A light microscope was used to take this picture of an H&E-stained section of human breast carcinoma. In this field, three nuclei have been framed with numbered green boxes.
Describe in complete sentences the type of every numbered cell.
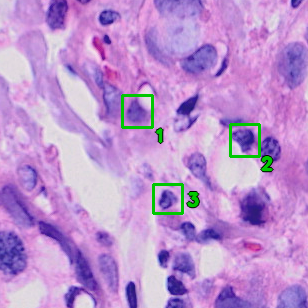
Cell 1 is an endothelial cell. Cells 2 and 3 are lymphocytes.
